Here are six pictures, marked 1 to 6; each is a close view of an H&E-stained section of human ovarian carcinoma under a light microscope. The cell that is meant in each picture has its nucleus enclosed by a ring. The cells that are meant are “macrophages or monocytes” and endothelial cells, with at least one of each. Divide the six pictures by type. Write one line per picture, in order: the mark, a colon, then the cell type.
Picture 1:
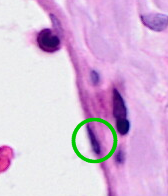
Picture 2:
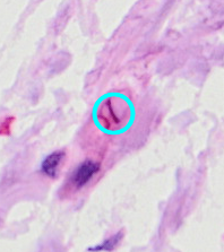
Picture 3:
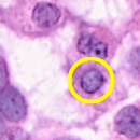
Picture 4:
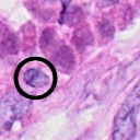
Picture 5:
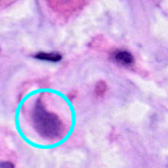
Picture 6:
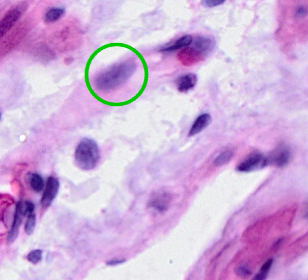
1: endothelial cell
2: endothelial cell
3: macrophage or monocyte
4: macrophage or monocyte
5: endothelial cell
6: endothelial cell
